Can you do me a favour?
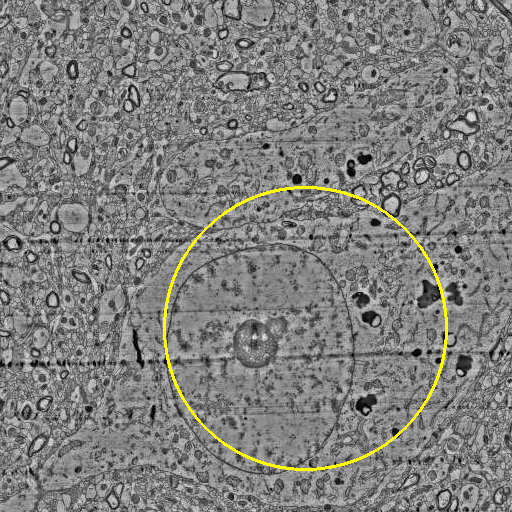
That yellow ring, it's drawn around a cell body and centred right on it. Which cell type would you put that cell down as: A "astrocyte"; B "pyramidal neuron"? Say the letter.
B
